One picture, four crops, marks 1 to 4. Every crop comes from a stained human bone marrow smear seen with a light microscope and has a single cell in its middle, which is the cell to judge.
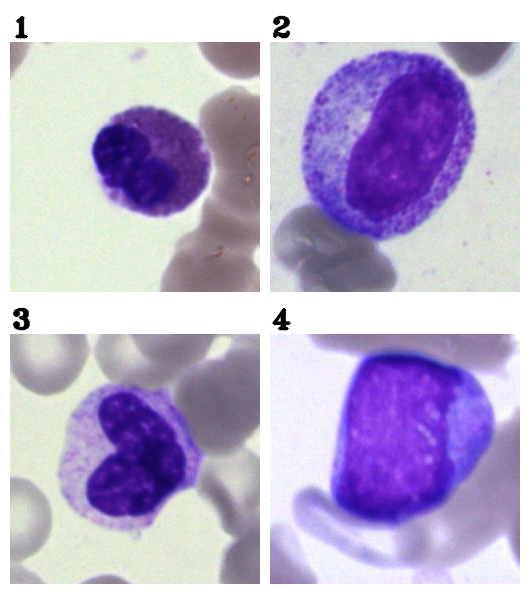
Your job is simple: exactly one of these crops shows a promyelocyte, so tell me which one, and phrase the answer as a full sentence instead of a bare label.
As for which crop shows a promyelocyte, it is crop 2.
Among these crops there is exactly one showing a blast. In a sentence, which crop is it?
Selected crop: 4, which is the one that shows a blast.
